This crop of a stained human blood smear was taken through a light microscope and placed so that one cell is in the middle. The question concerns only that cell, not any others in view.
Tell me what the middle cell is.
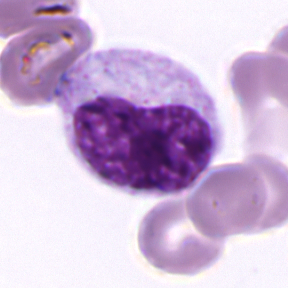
metamyelocyte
